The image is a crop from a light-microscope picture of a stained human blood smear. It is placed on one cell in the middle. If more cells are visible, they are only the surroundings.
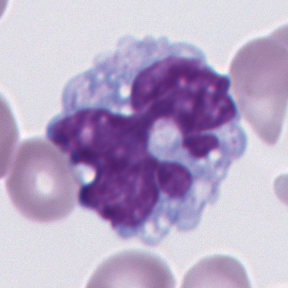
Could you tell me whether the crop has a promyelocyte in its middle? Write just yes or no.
no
